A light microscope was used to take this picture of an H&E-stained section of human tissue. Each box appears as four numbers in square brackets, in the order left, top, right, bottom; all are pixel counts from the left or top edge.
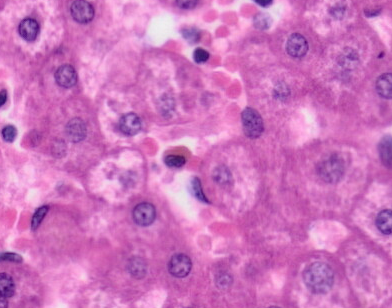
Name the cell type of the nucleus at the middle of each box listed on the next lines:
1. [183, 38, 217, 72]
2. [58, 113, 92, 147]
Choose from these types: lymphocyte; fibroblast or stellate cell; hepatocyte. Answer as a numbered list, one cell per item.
1. lymphocyte
2. hepatocyte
